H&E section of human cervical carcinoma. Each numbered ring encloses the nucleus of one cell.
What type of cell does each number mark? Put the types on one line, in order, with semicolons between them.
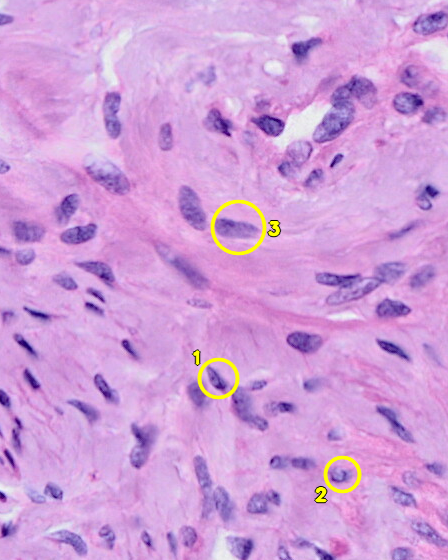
fibroblast; smooth muscle cell; fibroblast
